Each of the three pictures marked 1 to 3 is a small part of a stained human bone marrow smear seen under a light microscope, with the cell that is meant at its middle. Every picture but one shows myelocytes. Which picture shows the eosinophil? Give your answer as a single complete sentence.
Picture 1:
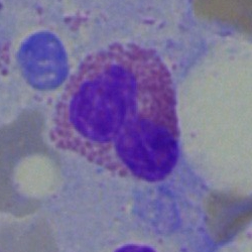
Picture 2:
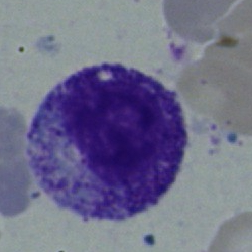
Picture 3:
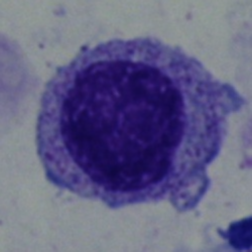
The eosinophil is the one in picture 1.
